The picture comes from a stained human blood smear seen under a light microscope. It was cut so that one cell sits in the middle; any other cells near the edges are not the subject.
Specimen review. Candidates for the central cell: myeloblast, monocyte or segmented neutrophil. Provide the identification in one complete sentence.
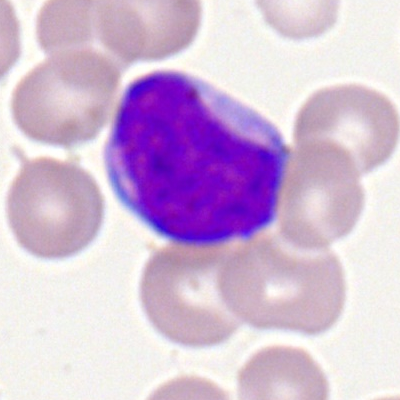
The central cell, amid any neighbouring cells, is a myeloblast.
